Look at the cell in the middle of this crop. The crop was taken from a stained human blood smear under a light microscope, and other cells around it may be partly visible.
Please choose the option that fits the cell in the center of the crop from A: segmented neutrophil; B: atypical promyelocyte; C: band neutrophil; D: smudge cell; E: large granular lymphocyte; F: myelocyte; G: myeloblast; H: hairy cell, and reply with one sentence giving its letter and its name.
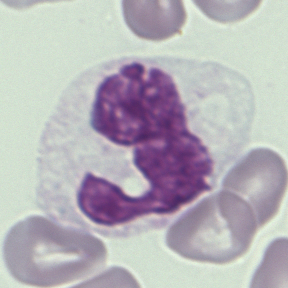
The middle of the crop contains a segmented neutrophil, so option A is right.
